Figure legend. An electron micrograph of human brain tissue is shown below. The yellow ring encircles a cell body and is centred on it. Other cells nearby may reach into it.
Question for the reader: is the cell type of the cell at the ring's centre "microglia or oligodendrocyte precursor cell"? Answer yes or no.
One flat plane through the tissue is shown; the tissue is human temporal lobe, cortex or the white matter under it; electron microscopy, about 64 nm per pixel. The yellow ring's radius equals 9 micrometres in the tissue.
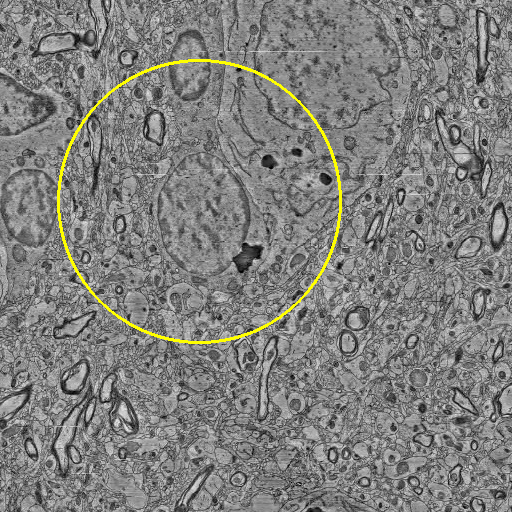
no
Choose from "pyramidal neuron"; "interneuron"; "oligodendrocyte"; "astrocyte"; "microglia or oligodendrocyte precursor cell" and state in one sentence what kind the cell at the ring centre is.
What the ring is centred on is an oligodendrocyte.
